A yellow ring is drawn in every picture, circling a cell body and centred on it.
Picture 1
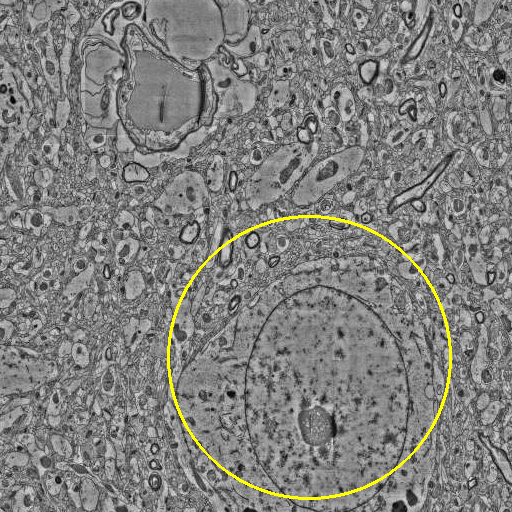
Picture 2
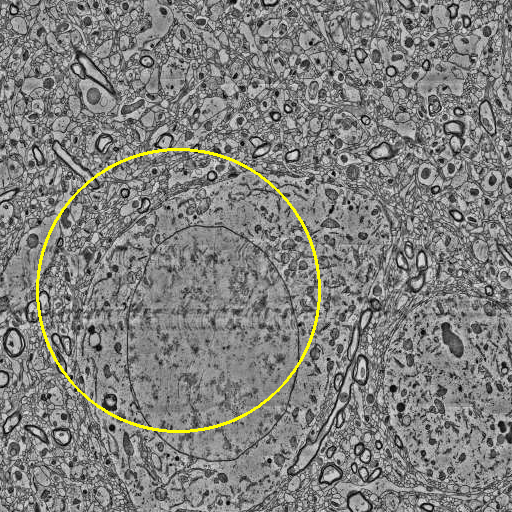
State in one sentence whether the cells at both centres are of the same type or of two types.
The cells at the two ring centres, one per picture, are of the same type.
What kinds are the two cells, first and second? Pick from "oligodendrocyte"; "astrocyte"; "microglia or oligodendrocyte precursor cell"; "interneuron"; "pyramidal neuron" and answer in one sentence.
In each picture the ringed cell is a pyramidal neuron.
